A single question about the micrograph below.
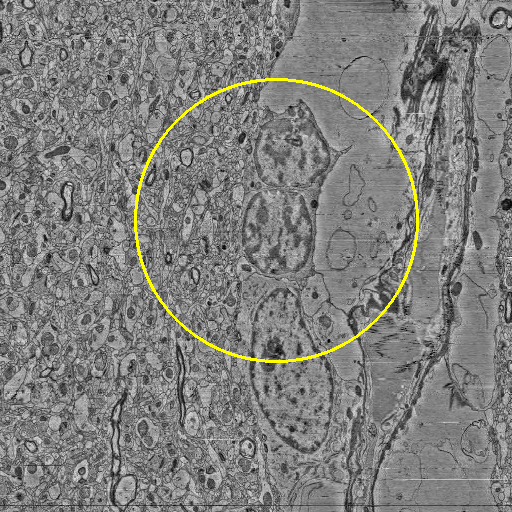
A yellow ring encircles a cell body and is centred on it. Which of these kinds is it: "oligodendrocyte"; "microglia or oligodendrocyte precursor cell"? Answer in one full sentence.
The cell body at the centre of the yellow ring belongs to an oligodendrocyte.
